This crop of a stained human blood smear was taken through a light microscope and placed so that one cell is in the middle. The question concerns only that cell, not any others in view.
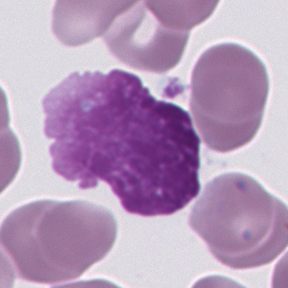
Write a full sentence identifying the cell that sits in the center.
The crop centres on a single cell, and that cell is a smudge cell.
